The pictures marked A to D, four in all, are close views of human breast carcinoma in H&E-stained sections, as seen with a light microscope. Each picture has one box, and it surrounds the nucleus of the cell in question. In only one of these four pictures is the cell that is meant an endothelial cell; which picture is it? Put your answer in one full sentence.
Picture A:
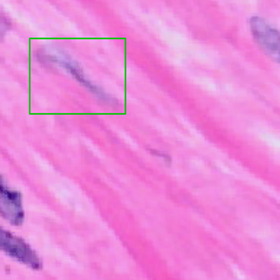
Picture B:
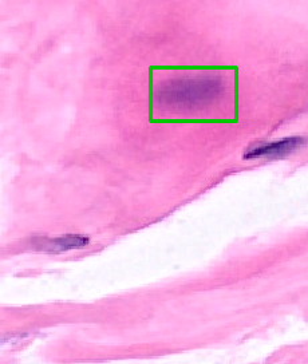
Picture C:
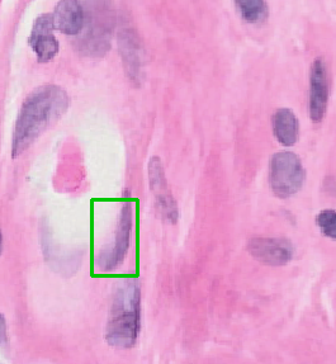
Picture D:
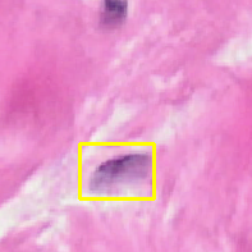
The endothelial cell is the one in picture C.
